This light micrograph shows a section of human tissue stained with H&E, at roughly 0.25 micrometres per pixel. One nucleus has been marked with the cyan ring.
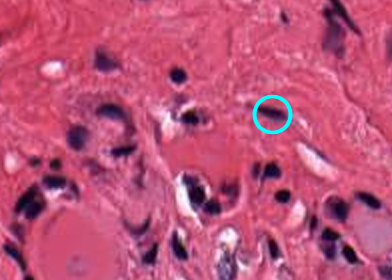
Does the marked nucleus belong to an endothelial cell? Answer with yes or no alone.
no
